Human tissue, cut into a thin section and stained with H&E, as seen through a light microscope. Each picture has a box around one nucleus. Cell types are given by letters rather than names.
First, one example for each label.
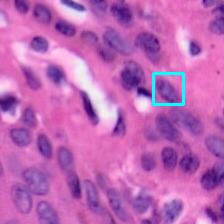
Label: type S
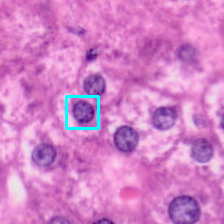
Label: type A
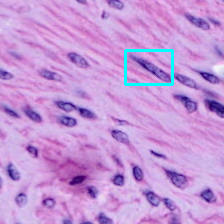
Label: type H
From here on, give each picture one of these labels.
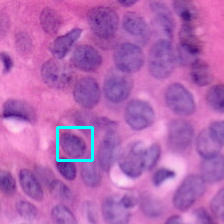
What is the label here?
type S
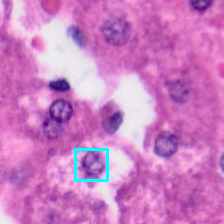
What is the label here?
type A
